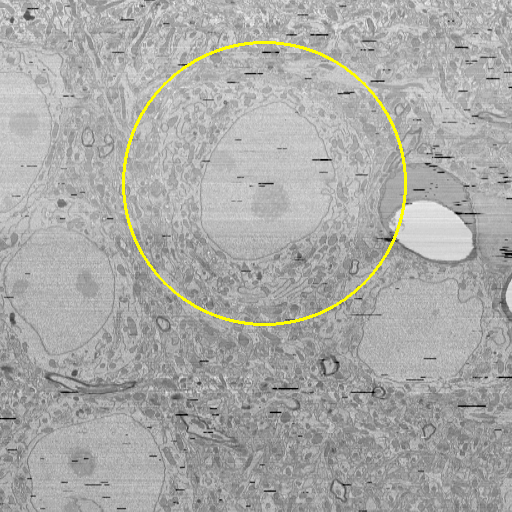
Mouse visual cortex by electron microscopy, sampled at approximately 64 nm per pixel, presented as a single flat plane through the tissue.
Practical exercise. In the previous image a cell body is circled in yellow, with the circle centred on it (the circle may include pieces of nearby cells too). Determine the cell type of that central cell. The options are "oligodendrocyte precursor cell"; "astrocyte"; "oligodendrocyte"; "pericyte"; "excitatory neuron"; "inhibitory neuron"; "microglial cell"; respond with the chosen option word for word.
inhibitory neuron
